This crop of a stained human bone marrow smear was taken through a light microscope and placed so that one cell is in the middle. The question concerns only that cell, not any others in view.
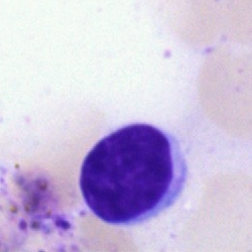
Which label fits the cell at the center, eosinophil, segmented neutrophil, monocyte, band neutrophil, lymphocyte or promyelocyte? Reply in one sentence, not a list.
The cell of interest, in the center, is a lymphocyte.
